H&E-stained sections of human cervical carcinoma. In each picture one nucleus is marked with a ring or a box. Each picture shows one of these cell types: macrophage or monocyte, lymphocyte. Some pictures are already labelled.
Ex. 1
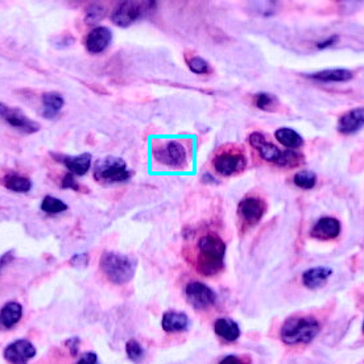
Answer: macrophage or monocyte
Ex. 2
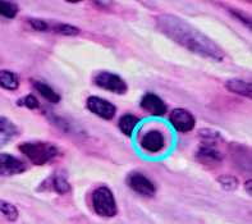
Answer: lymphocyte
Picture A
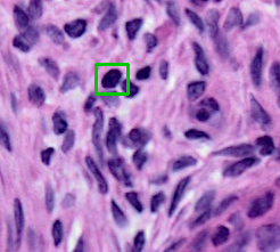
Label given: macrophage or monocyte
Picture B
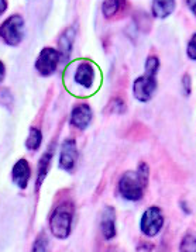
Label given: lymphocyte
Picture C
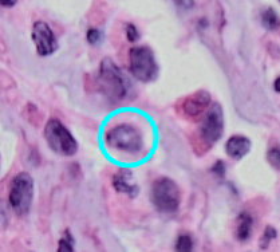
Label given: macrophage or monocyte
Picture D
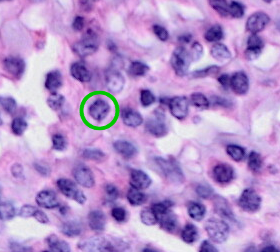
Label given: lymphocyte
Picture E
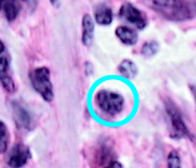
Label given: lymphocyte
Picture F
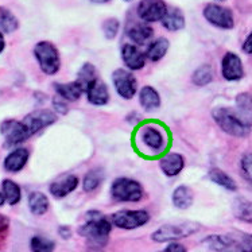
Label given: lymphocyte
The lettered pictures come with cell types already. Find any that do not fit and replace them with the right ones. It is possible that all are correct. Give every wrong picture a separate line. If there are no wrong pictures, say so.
A should be lymphocyte, not macrophage or monocyte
